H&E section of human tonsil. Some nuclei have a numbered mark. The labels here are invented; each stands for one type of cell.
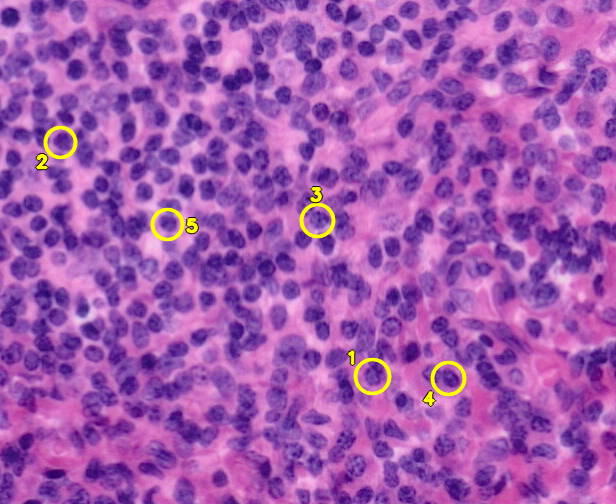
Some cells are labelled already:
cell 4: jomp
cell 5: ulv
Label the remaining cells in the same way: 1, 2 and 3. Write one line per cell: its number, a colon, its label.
1: jomp
2: ulv
3: ulv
